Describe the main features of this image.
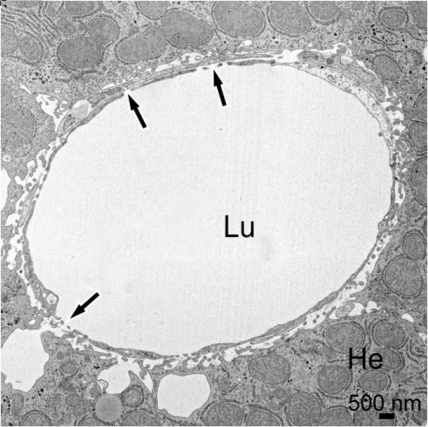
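A low-magnification view of a sinusoid cut across, its wide oval lumen empty and pale, surrounded by large cells packed with many rounded organelles. The lumen is lined by sinusoidal endothelial cells forming a very thin, delicate layer that is interrupted at several points by small gaps, the fenestrations. Between this thin lining and the surrounding cells lies a narrow clear space containing many small irregular projections. No endothelial nucleus is seen in this section of the wall.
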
